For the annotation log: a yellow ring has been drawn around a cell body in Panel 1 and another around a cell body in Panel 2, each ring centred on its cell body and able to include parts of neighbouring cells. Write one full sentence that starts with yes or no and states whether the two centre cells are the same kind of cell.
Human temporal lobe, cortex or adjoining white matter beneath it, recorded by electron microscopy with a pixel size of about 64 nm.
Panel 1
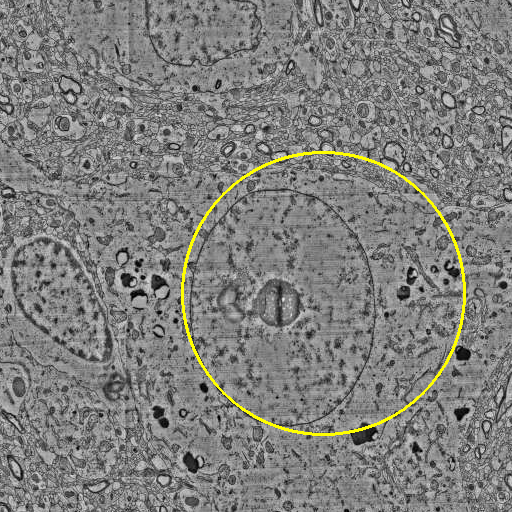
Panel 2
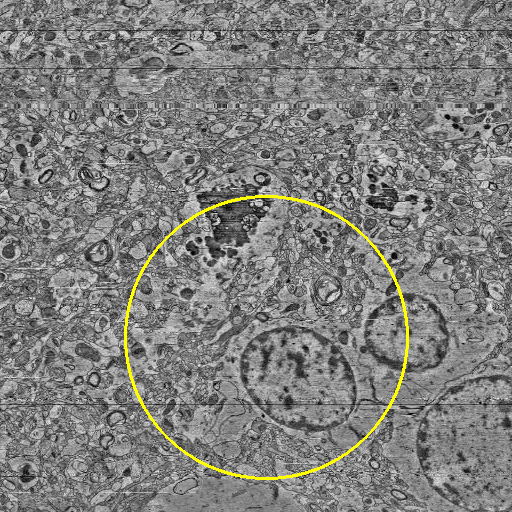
No, the two centre cells are two kinds of cell.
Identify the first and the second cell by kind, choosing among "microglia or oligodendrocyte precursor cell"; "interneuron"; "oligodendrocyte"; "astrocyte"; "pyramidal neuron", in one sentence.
The one in the first picture is a pyramidal neuron, while the one in the second is an astrocyte.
